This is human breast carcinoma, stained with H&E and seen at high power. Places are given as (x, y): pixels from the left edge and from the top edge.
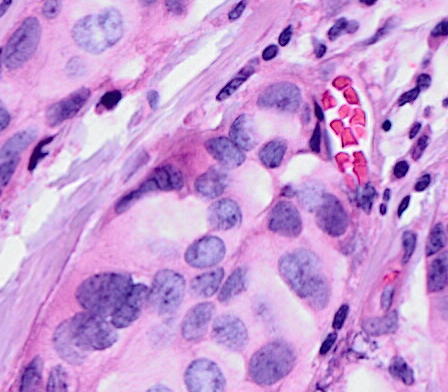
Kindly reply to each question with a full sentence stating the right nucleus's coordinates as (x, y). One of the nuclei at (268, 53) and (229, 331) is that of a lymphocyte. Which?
The nucleus at position (268, 53) belongs to a lymphocyte.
